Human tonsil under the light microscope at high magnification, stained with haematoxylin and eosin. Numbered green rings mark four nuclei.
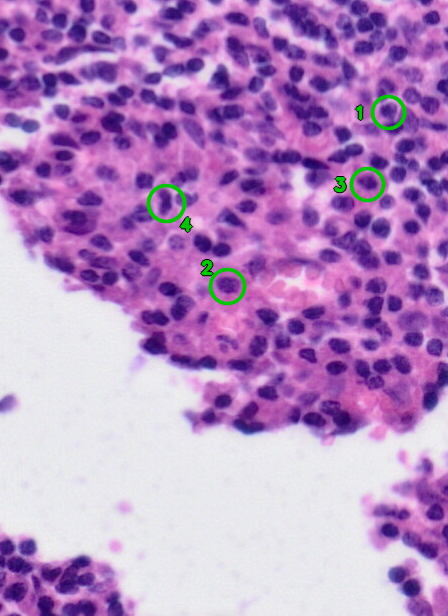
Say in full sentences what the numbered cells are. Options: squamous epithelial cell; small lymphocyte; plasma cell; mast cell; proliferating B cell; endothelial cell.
Cell 1 is a small lymphocyte. Cells 2, 3 and 4 are plasma cells.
